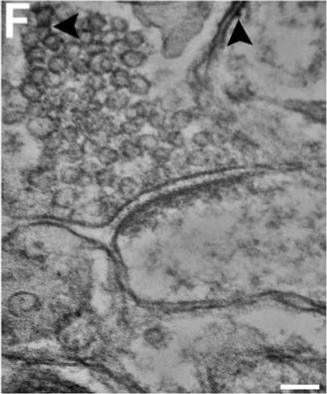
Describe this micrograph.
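This is a synaptic region of neuropil in which a presynaptic terminal is packed with small, round, clear vesicles. The vesicles crowd the upper left part of the field, some with dark deposits on their surfaces. Beneath them a dense, thickened membrane apposition runs diagonally where the terminal meets its partner. The surrounding profiles show fine granular cytoplasm and thin membranes.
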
